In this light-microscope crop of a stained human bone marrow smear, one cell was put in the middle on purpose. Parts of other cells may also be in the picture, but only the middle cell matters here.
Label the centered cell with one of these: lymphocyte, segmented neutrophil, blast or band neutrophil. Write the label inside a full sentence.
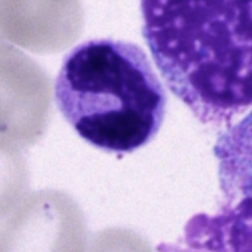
Classification of the middle cell gives a band neutrophil.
